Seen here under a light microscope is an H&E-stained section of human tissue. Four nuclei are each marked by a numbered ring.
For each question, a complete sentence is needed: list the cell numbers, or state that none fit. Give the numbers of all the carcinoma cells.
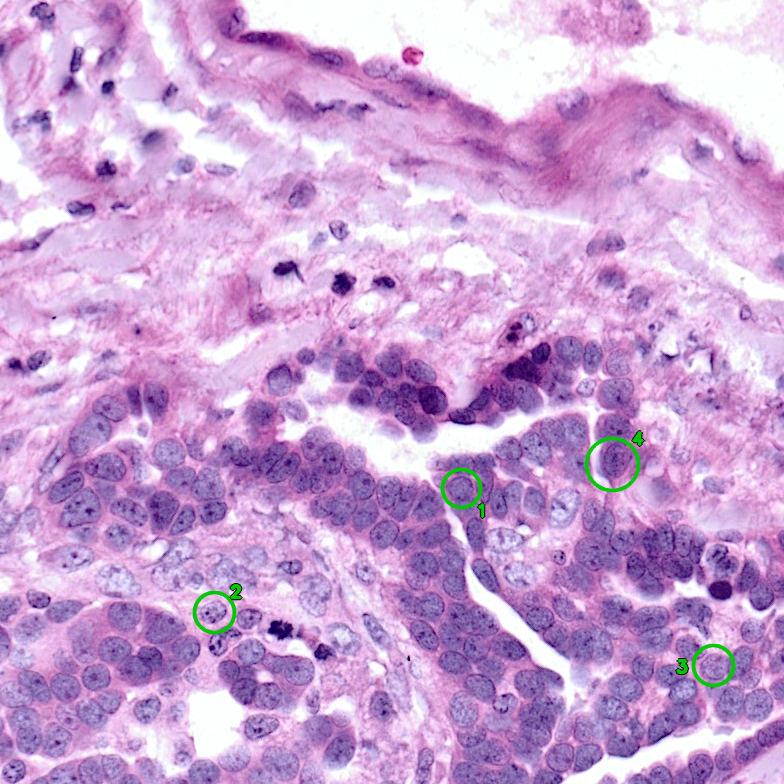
The cells numbered 1, 3 and 4 are typed as carcinoma cells.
